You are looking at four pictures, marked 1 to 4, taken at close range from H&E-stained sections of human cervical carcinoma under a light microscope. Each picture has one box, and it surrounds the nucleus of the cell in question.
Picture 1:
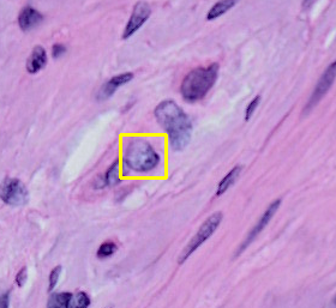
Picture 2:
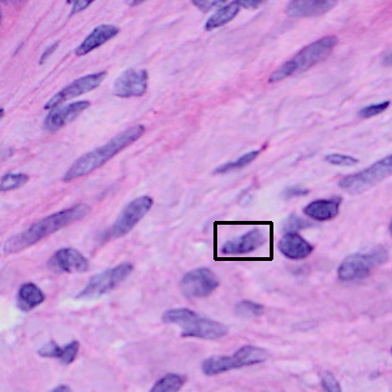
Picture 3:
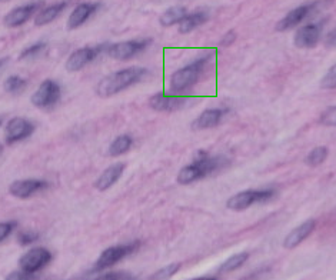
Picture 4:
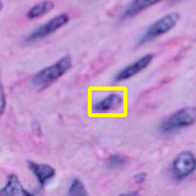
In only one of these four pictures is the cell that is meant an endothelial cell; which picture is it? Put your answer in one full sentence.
The endothelial cell is the one in picture 1.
